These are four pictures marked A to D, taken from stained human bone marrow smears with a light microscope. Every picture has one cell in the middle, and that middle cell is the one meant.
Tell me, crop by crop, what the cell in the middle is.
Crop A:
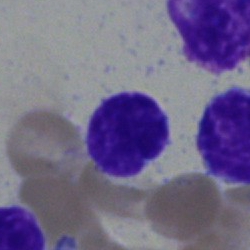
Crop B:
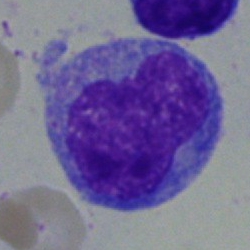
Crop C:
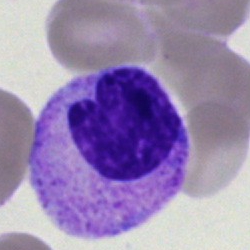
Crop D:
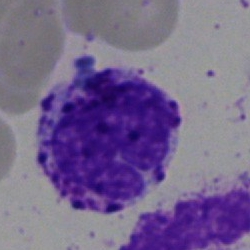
A: lymphocyte
B: monocyte
C: metamyelocyte
D: basophil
